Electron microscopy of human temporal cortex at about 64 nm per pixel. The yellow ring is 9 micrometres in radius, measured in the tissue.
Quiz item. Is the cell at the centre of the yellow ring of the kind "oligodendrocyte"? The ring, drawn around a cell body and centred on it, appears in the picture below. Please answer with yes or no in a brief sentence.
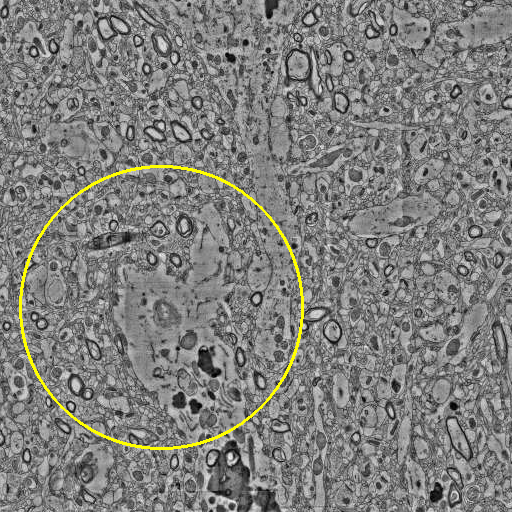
No, it is another kind of cell.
